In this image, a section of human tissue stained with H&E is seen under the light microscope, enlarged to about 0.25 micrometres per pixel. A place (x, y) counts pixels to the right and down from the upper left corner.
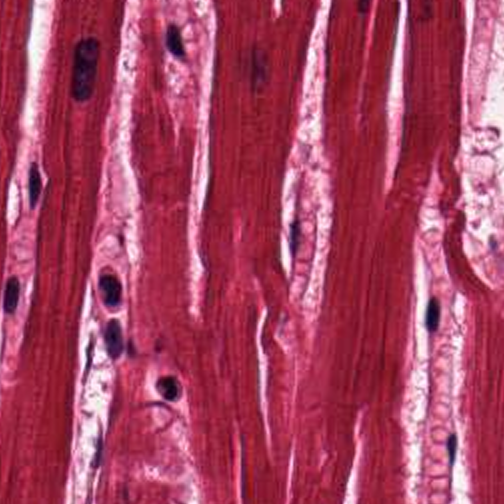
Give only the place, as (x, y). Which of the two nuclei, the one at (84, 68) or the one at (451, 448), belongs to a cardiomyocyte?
(84, 68)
